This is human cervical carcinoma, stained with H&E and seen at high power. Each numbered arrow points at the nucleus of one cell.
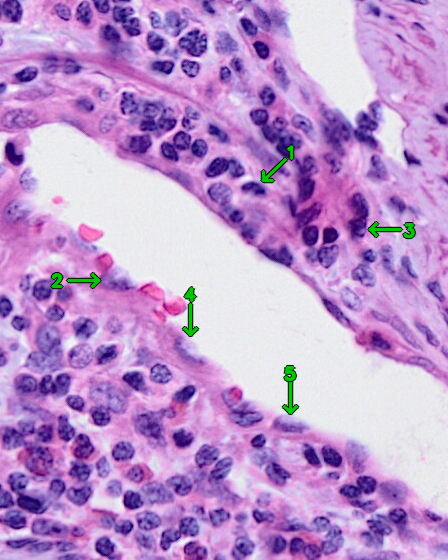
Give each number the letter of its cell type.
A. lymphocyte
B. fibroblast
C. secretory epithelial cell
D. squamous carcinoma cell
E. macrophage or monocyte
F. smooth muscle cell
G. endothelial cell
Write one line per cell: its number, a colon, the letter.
1: A
2: G
3: A
4: G
5: G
